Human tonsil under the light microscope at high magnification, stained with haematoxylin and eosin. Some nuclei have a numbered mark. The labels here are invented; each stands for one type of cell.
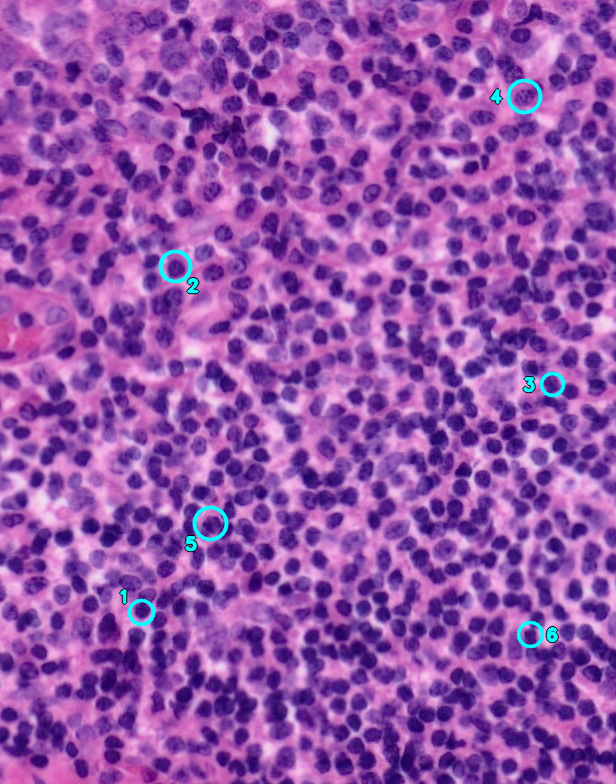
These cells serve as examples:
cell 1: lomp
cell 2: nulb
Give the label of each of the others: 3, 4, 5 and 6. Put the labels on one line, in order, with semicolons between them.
lomp; nulb; lomp; lomp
